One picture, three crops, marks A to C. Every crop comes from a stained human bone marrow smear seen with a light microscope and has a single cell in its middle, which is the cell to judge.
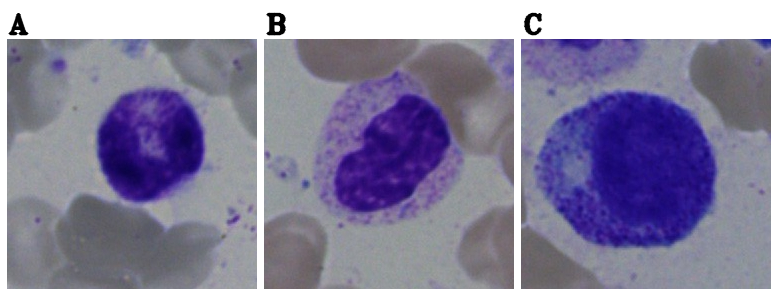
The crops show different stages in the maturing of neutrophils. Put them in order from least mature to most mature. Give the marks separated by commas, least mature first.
C, B, A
